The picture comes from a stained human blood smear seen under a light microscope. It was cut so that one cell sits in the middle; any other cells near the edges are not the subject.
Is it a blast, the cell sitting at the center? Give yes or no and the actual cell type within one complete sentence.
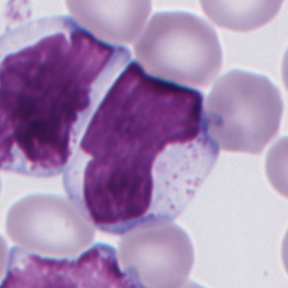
No, what occupies the middle of the crop is a large granular lymphocyte and not a blast.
